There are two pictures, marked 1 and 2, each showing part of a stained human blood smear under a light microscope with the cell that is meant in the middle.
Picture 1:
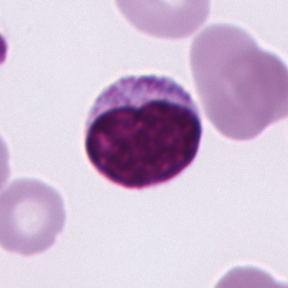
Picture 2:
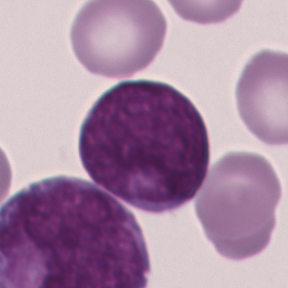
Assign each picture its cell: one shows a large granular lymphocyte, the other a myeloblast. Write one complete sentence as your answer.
Picture 1 is of a large granular lymphocyte, and picture 2 is of a myeloblast.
